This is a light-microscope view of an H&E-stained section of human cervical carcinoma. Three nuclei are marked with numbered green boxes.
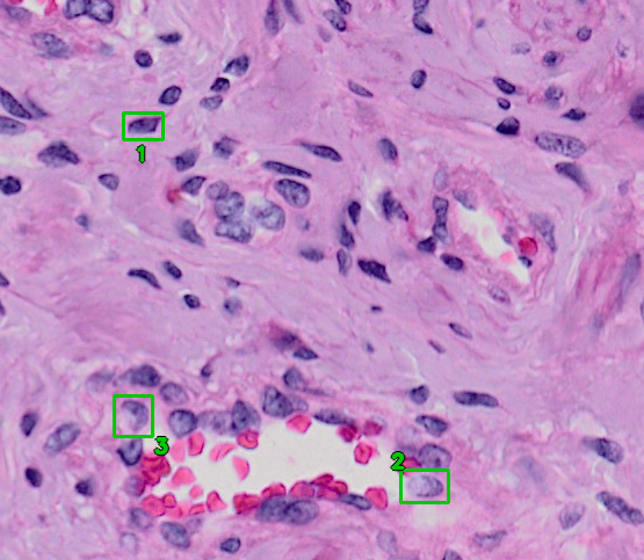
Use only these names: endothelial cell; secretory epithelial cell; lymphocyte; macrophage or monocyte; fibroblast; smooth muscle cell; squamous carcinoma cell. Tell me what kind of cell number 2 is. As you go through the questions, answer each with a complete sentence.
As for number 2, that cell is an endothelial cell.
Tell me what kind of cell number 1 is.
Classified as a fibroblast is the cell with the number 1.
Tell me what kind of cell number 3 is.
Among the marked cells, number 3 is an endothelial cell.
